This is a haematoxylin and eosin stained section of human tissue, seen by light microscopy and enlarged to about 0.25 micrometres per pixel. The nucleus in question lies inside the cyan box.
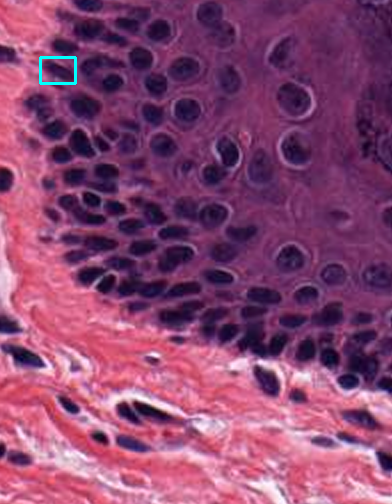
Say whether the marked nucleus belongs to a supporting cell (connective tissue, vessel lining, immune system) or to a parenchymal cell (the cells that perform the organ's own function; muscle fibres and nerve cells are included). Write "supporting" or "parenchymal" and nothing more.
parenchymal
